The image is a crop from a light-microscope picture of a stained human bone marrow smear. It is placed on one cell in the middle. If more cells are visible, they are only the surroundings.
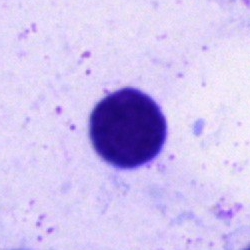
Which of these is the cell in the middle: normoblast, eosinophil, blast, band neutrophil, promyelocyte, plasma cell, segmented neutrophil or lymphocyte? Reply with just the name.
lymphocyte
